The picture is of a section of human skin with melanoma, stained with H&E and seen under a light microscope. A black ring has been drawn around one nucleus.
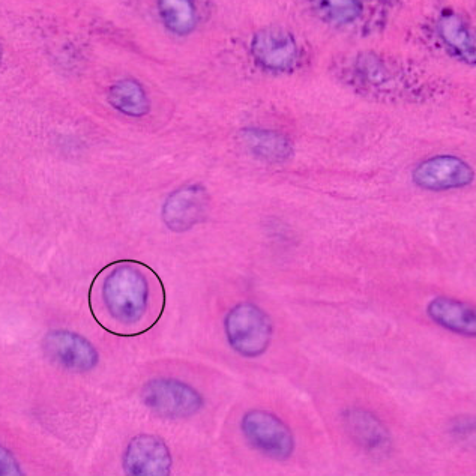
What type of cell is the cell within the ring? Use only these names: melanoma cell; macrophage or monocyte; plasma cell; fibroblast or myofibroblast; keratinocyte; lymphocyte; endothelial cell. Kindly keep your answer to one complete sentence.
In cellular terms, the cell within the ring is a keratinocyte.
